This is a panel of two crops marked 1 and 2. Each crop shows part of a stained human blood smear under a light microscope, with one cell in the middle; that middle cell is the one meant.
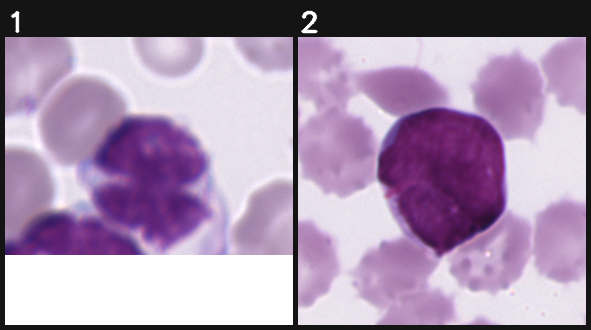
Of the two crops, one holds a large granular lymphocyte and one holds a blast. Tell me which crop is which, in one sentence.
Crop 1 depicts a large granular lymphocyte, and crop 2 depicts a blast.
